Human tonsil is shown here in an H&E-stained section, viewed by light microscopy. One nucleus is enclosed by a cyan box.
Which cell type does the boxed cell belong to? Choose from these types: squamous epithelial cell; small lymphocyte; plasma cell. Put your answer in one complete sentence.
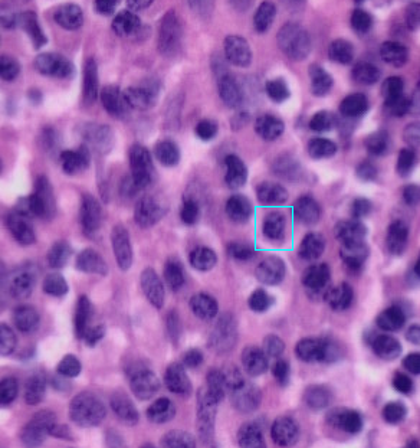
For the purposes of cell typing, the boxed cell is categorized as a plasma cell.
